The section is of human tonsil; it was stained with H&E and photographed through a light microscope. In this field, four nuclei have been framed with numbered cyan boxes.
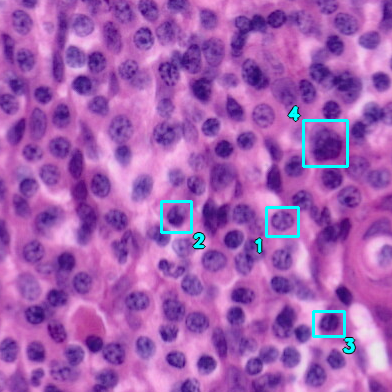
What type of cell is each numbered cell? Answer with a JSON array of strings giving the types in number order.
["plasma cell", "plasma cell", "plasma cell", "squamous epithelial cell"]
